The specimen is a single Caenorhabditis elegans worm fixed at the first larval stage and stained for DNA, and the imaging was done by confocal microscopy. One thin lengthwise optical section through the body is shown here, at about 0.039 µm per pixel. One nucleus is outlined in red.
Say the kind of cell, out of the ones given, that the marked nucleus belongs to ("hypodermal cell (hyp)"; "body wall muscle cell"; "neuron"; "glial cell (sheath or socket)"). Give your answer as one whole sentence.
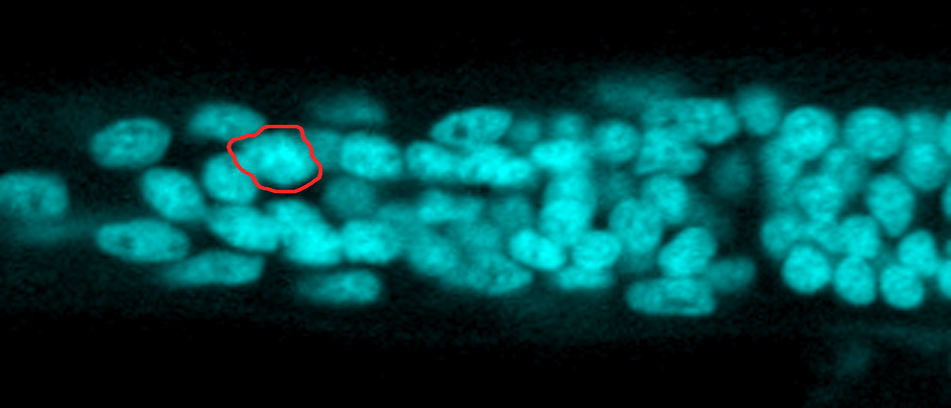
The nucleus comes from a glial cell (sheath or socket).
